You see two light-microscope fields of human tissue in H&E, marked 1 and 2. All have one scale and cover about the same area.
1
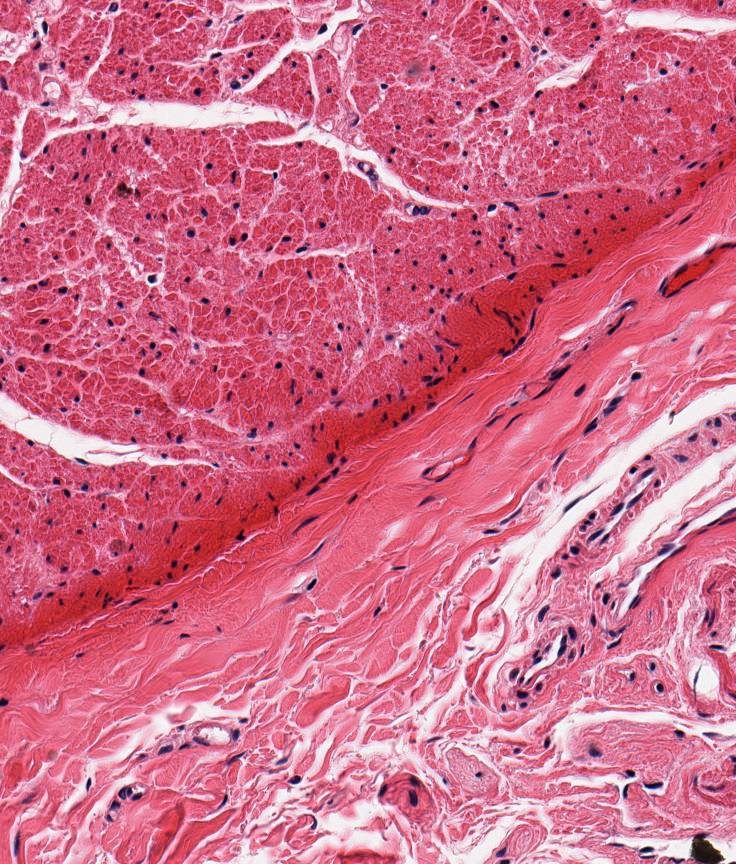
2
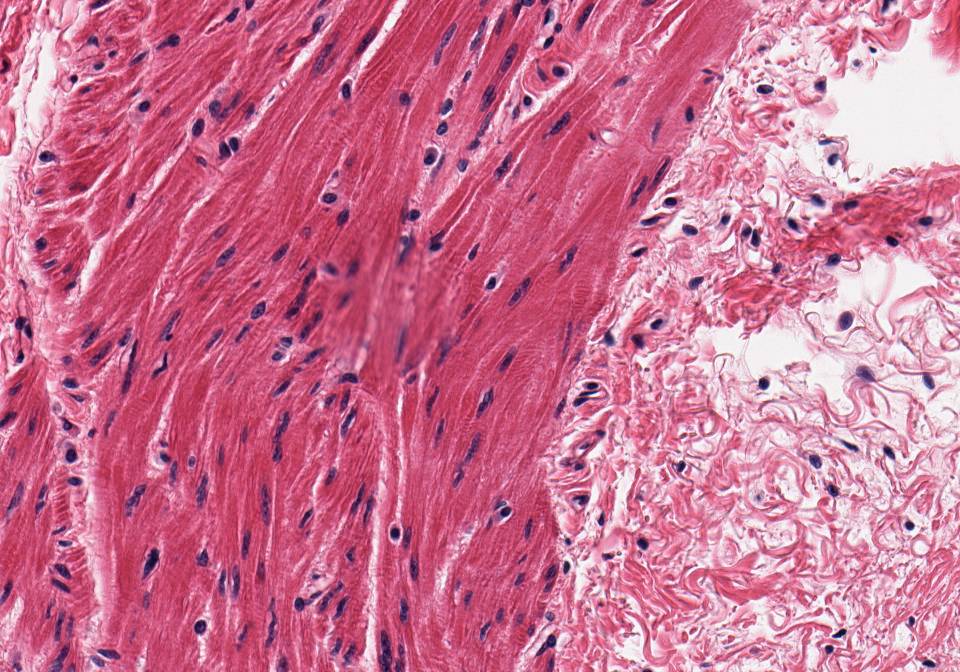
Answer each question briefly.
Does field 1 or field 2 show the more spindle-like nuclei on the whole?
2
